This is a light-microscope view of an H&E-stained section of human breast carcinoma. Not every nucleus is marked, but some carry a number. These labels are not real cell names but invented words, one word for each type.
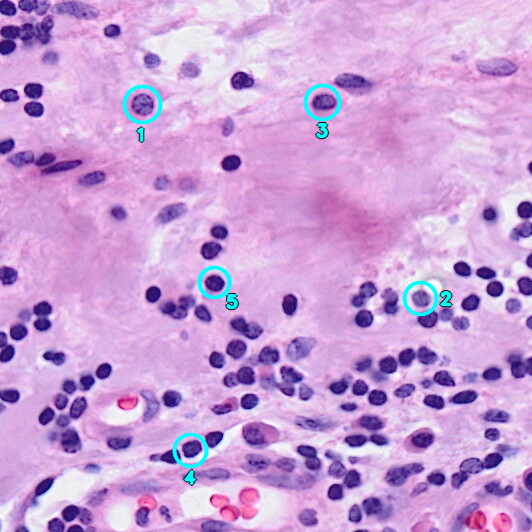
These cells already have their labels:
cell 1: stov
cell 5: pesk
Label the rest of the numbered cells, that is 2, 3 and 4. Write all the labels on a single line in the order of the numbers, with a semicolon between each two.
pesk; stov; pesk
